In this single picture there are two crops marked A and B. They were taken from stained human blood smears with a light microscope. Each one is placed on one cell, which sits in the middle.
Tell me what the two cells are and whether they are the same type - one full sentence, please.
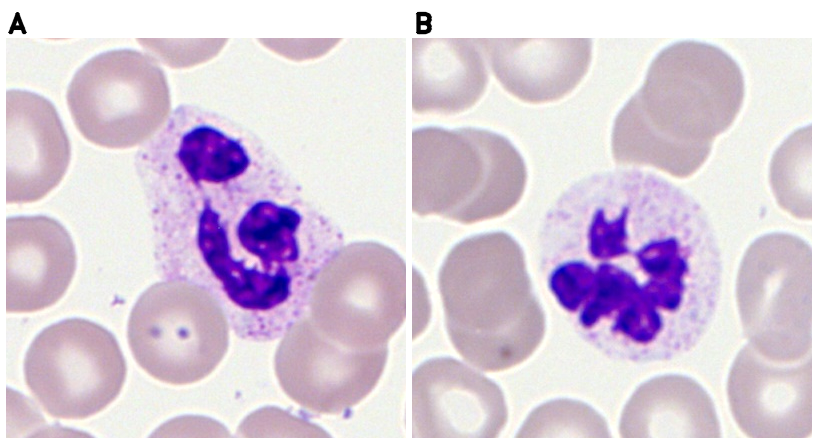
Yes, in both of the crops, the central cells are neutrophils.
